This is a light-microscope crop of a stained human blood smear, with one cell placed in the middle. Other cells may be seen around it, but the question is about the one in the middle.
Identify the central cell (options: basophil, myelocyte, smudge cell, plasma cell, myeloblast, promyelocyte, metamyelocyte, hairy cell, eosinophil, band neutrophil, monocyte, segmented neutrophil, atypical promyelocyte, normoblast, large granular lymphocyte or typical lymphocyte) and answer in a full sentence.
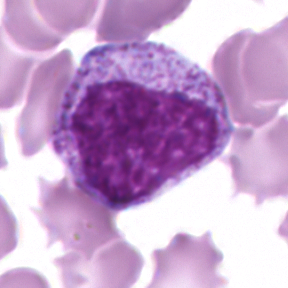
For this crop, the cell in the middle is a myelocyte.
